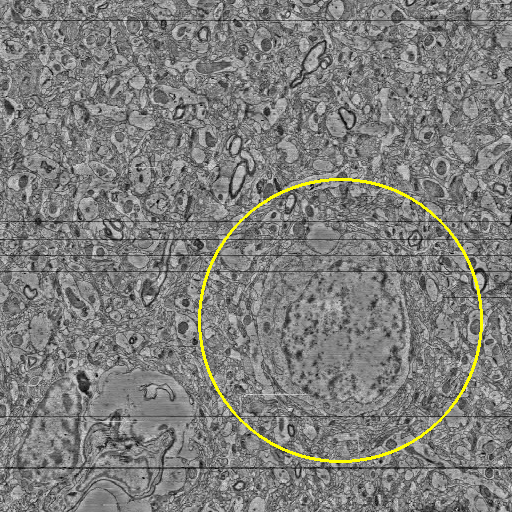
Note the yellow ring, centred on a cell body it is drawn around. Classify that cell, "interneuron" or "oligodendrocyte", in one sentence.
The cell the ring is centred on is an interneuron.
